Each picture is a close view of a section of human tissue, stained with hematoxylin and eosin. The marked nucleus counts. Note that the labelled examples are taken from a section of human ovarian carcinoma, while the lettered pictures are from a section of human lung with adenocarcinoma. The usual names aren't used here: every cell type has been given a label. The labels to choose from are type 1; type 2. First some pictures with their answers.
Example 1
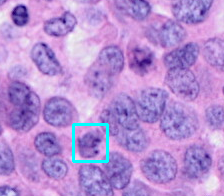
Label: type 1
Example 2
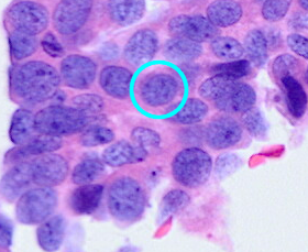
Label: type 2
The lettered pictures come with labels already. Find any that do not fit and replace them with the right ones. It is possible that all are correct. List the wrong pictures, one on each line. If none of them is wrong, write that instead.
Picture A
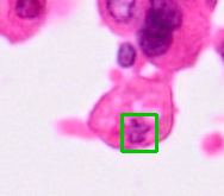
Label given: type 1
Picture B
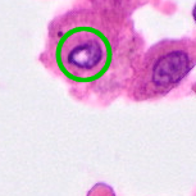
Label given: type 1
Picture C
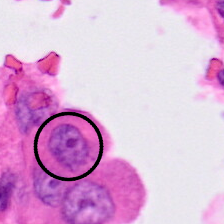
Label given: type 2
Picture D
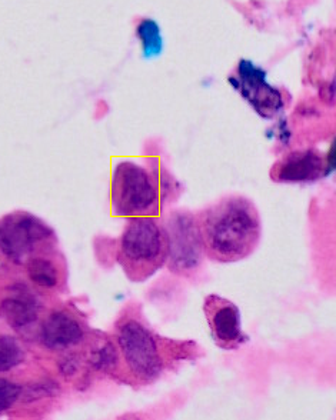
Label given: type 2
Nothing to fix; every label fits.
